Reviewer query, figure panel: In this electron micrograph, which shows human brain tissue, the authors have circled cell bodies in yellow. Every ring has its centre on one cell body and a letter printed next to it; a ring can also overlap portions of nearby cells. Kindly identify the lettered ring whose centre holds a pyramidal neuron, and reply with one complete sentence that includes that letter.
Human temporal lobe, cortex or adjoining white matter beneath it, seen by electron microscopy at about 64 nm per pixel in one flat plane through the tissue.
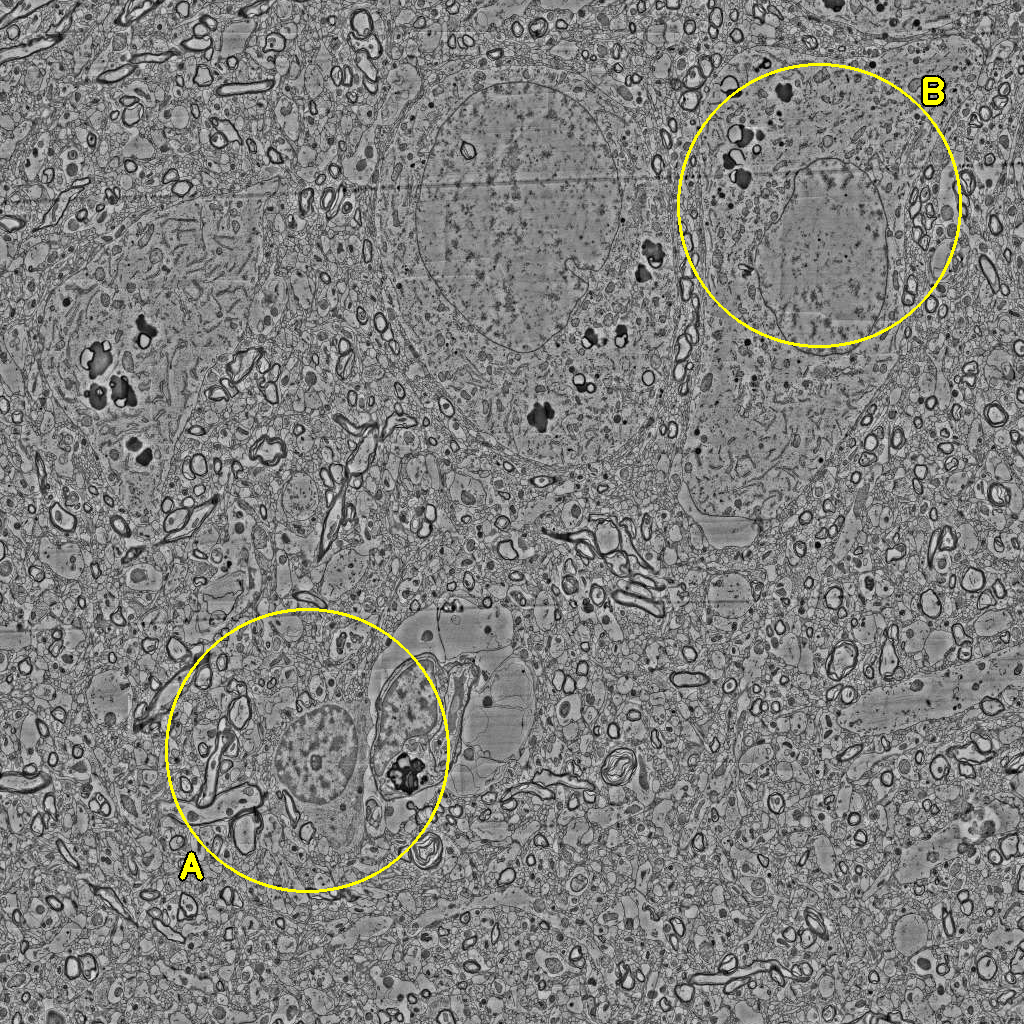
In this figure panel, the ring labelled B has the cell asked for at its centre.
